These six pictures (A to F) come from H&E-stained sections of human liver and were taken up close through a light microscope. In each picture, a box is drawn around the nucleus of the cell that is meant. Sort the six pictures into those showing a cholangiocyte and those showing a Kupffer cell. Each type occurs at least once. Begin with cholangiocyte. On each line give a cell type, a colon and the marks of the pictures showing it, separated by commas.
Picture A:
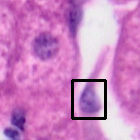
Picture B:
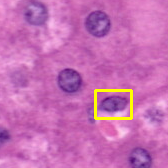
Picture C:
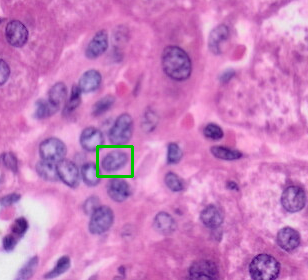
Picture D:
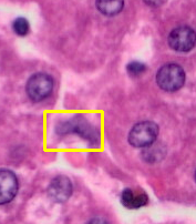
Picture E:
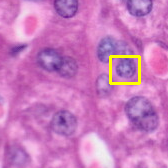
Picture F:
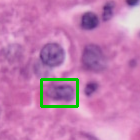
cholangiocyte: C, E
Kupffer cell: A, B, D, F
